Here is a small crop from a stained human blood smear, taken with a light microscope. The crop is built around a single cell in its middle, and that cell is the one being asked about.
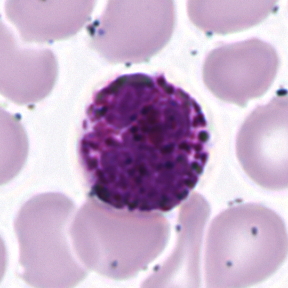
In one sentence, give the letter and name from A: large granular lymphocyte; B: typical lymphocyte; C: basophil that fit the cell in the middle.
The centered cell is a basophil, which is why option C is right.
